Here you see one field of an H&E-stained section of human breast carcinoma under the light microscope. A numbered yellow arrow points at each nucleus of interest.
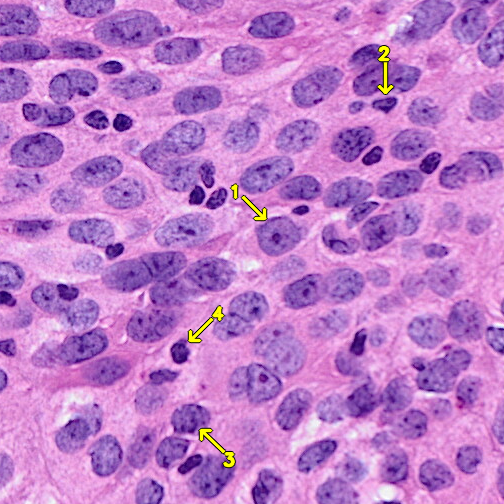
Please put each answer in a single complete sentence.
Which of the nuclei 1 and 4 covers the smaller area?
Nucleus 4 is the smaller one; nucleus 1 covers about 4 times its area.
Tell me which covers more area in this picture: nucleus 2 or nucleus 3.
At about 2.5 times the area of nucleus 2, nucleus 3 is the larger of the two.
